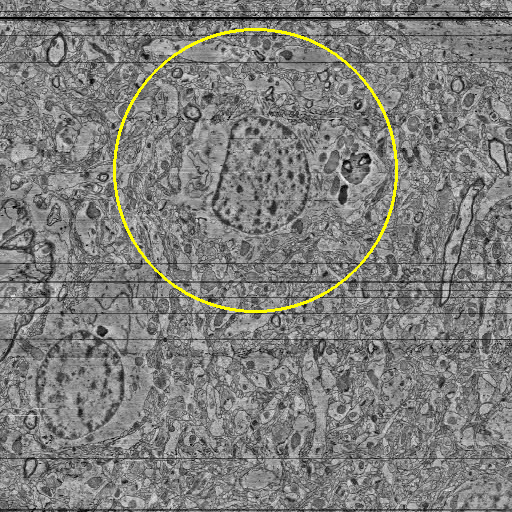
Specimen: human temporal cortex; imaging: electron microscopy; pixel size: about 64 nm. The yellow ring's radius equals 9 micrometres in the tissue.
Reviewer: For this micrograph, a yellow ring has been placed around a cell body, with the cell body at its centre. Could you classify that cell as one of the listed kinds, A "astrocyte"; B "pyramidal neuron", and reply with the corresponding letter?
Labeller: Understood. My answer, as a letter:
A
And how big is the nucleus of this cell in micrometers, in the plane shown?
Roughly 8 by 6 micrometres in this plane, for the nucleus of the ringed cell.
